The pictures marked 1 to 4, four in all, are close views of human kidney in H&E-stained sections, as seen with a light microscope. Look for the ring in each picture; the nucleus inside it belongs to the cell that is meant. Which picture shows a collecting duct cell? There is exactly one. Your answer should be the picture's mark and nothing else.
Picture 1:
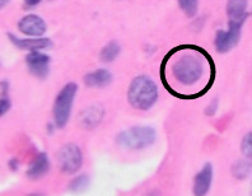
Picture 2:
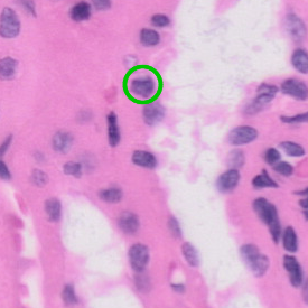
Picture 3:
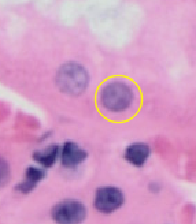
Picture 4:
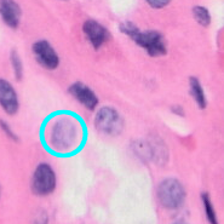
4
